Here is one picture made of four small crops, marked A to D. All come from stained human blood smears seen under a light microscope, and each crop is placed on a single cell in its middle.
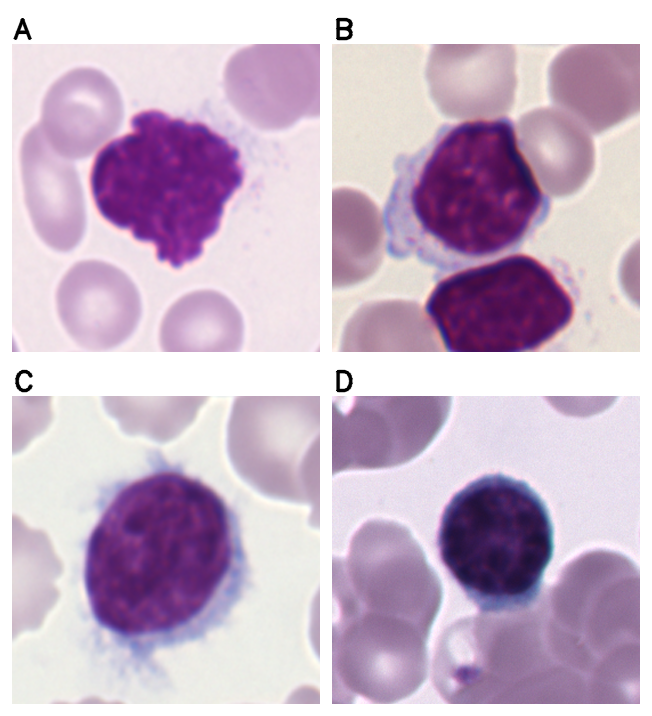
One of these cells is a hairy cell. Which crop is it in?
C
